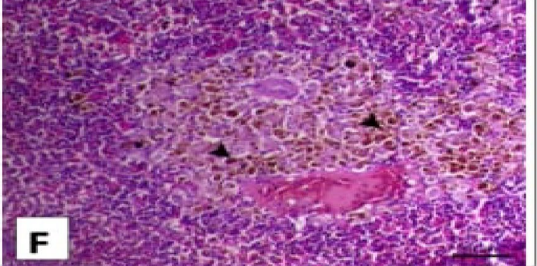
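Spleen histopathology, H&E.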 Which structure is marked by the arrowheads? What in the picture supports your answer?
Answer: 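The arrowheads point into a large aggregate of cells filled with brown pigment granules. The aggregate stands out from the surrounding densely packed purple and red cells. The answer: melanomacrophage center.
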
